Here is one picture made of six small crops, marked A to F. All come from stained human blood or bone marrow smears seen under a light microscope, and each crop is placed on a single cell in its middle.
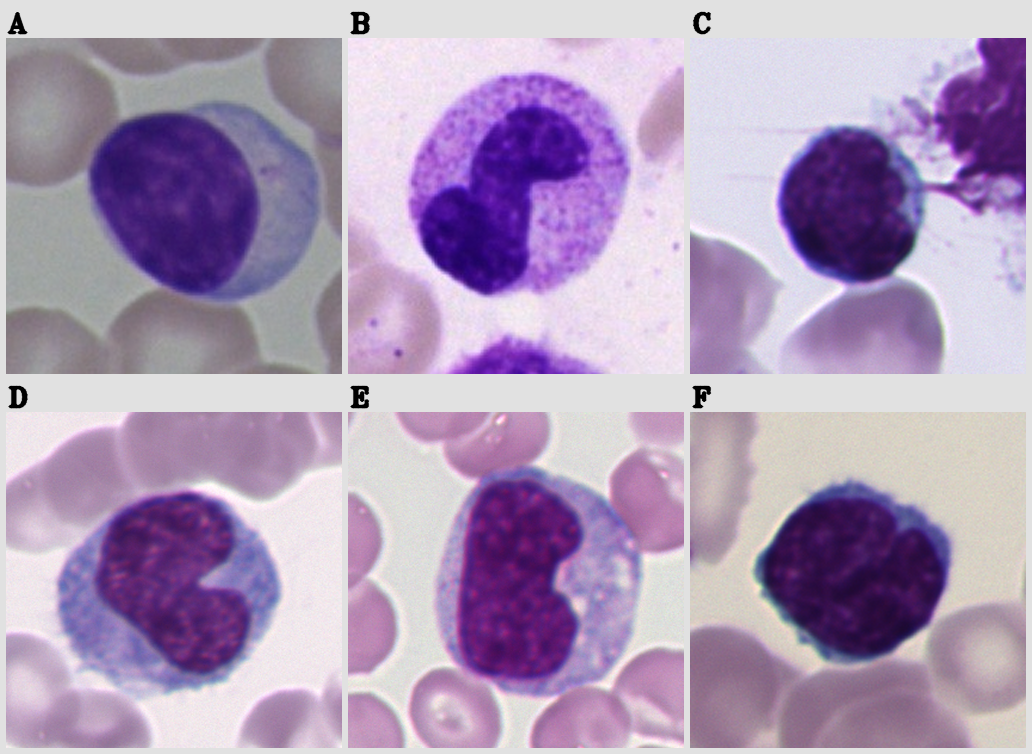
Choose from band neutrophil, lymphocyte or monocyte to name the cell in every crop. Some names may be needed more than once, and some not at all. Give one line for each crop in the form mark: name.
A: lymphocyte
B: band neutrophil
C: lymphocyte
D: monocyte
E: monocyte
F: lymphocyte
